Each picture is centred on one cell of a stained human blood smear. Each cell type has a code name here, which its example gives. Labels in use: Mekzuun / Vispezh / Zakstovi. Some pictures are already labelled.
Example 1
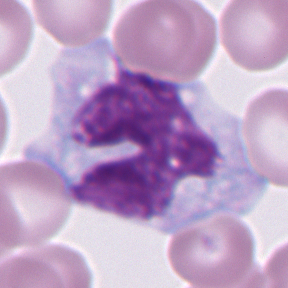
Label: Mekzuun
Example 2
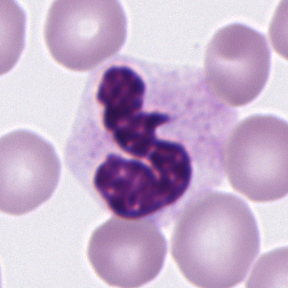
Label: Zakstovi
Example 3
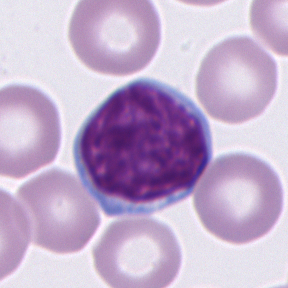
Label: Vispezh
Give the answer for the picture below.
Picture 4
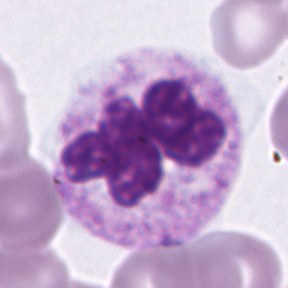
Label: Zakstovi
